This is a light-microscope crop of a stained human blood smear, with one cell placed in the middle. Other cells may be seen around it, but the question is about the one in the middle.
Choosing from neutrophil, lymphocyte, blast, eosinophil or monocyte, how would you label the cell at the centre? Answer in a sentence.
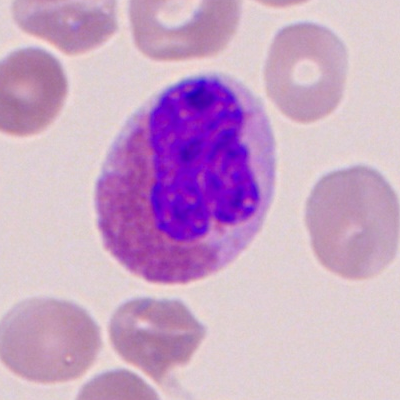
The middle of this crop is occupied by an eosinophil.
